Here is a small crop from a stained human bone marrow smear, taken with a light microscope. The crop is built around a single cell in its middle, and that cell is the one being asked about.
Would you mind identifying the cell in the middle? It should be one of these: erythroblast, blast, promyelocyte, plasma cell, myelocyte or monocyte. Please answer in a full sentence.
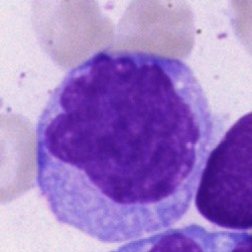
In the central position of this crop, the cell is a monocyte.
